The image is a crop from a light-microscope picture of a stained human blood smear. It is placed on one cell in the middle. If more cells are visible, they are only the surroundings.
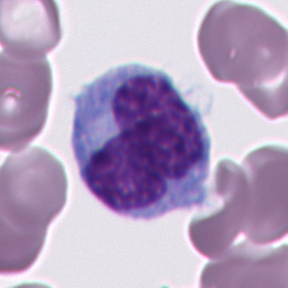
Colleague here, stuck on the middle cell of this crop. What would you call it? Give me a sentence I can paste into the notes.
The central cell, amid any neighbouring cells, is a monocyte.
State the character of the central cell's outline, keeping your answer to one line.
In outline, the cell is irregular, ragged in stretches or drawn into projections.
